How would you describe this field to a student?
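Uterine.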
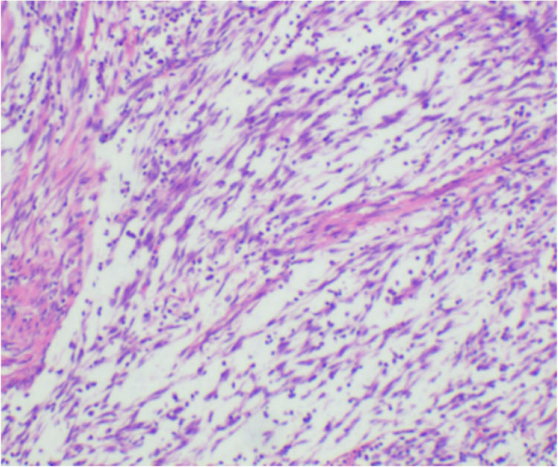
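This tumor is made of fusiform, spindle-shaped cells scattered loosely in a pale, myxoid background. Their nuclei are elongated and purple, and the cells run in loose, roughly parallel streams. Between them lie smaller round dark nuclei of inflammatory cells. At the edges a few denser pink bands of collagen or muscle cross the field.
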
